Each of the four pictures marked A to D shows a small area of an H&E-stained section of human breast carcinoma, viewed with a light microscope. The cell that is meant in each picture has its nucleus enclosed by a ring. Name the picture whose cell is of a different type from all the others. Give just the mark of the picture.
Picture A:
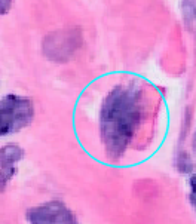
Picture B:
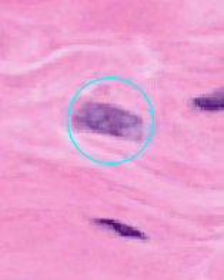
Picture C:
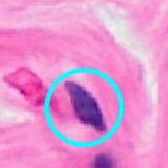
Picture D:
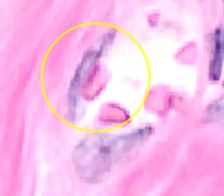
B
